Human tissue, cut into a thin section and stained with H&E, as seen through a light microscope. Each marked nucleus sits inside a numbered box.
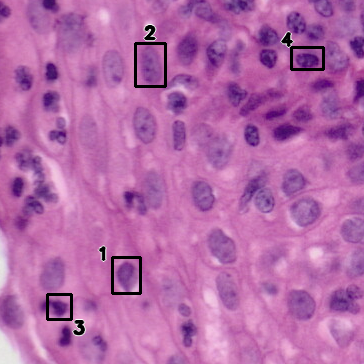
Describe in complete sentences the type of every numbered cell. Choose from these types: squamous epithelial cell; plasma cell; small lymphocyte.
Cell 1 is a squamous epithelial cell, cell 2 is a squamous epithelial cell, cell 3 is a squamous epithelial cell and cell 4 is a plasma cell.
